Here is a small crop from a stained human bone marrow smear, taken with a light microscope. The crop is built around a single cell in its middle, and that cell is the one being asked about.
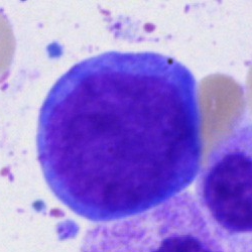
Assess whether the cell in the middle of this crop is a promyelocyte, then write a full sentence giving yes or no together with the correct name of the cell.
No, that would be a proerythroblast, not a promyelocyte, for the cell at the centre.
